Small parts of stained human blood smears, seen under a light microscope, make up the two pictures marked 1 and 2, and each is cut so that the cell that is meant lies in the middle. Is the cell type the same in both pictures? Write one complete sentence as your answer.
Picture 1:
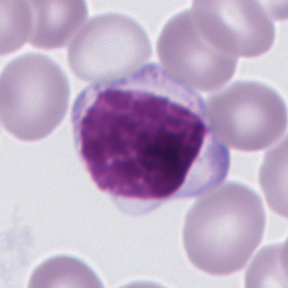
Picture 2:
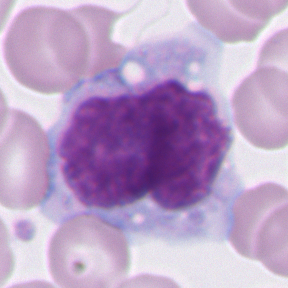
No, the types are not the same, since picture 1 shows a large granular lymphocyte and picture 2 a monocyte.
